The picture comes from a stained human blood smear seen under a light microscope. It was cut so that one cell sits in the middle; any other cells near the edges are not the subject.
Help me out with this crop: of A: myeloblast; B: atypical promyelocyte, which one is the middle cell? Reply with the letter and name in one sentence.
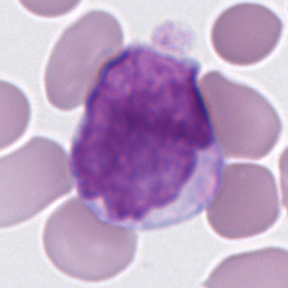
The correct option is B, as the central cell is an atypical promyelocyte.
